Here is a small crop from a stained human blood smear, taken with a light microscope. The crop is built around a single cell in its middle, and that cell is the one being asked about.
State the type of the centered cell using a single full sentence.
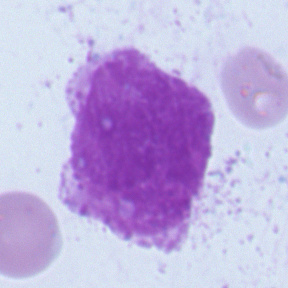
The middle position in this crop is taken by a smudge cell.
